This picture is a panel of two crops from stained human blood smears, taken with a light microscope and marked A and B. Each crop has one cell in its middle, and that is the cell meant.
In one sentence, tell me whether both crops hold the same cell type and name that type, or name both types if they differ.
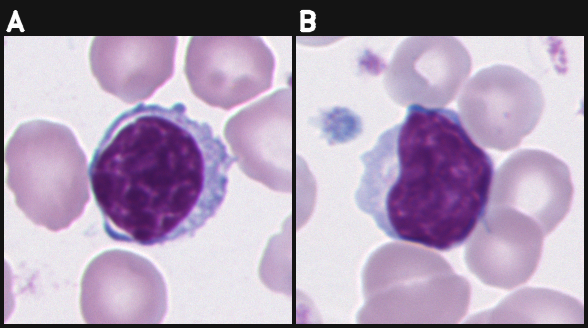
Yes, the cells under consideration in both crops are typical lymphocytes.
